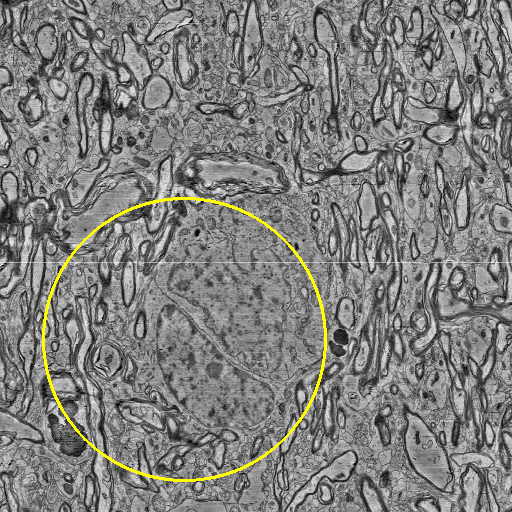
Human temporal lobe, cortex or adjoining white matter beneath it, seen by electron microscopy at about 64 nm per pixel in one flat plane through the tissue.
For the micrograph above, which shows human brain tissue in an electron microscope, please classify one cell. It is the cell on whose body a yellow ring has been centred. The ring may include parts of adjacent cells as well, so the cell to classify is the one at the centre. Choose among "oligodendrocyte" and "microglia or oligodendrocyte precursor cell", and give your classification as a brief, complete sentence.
I classify this cell as a microglial cell or oligodendrocyte precursor cell.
